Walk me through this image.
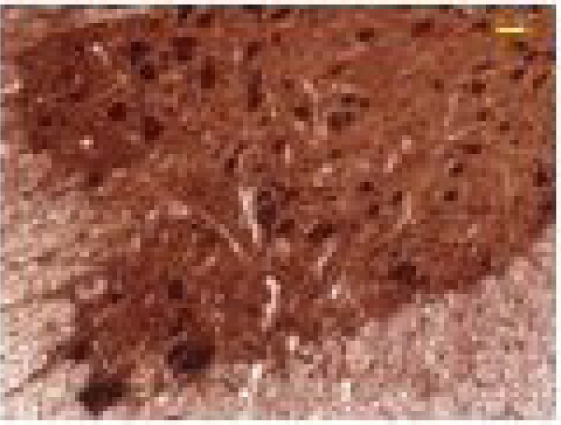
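A wedge of densely brown-stained gray matter is bordered by paler, streaky tissue, and within it lie many darker brown angular cell bodies of varying size, the largest toward the lower edge. Thin pale fibres run between them. The large dark brown cells are motor neurons of the anterior horn.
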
